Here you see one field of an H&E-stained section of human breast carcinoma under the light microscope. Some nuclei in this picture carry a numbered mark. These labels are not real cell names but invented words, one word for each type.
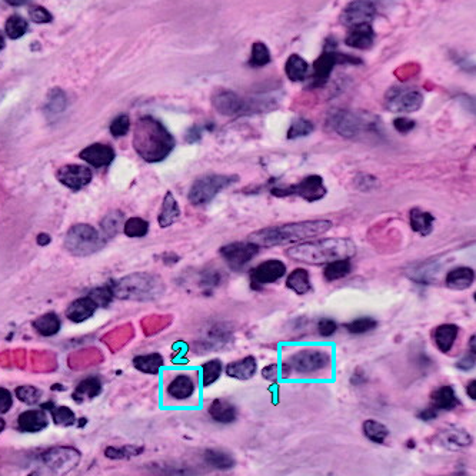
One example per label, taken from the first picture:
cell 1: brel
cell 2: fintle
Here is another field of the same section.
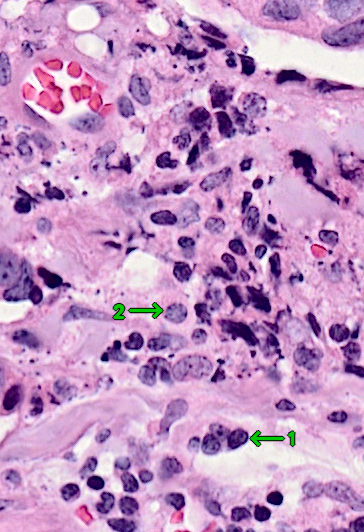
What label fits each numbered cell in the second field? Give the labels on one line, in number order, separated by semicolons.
fintle; brel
